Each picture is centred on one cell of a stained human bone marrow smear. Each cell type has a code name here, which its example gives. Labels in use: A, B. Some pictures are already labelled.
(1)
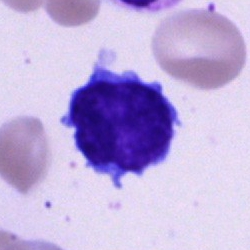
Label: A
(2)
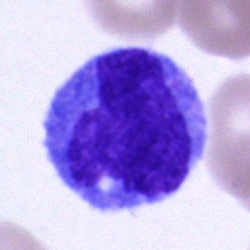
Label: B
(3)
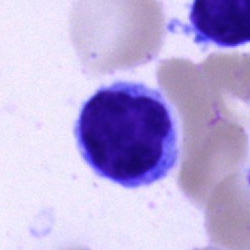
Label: A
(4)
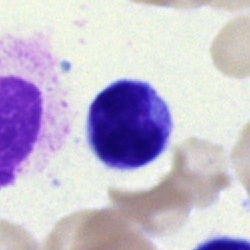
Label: A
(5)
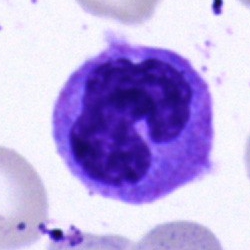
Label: B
